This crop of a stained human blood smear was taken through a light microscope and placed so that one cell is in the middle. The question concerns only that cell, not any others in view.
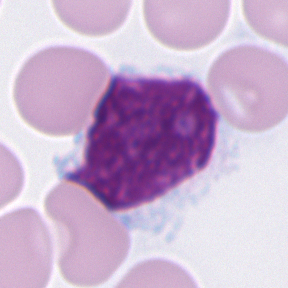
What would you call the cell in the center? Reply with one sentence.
The middle of this crop holds a typical lymphocyte.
